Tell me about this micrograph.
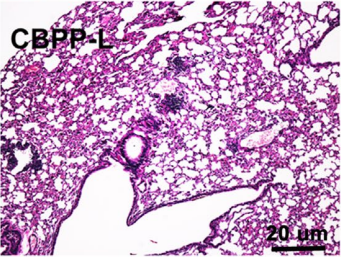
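Lung tissue with a large open airway at the lower edge and smaller round airways, set among thin-walled air spaces stained pink with purple nuclei. A few small dense dark purple clusters of cells lie in the tissue near the airways, and some walls between air spaces look thicker and more crowded with nuclei.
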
